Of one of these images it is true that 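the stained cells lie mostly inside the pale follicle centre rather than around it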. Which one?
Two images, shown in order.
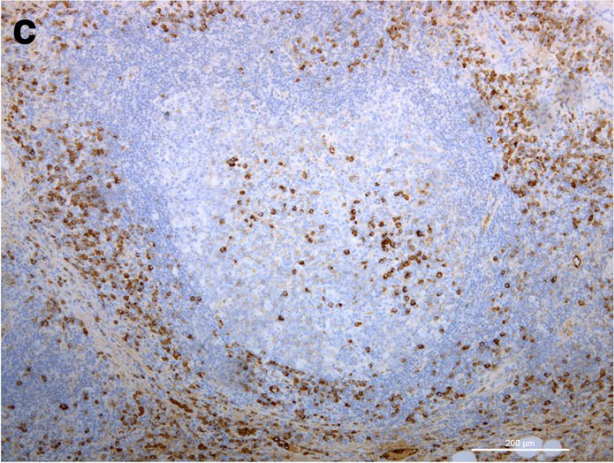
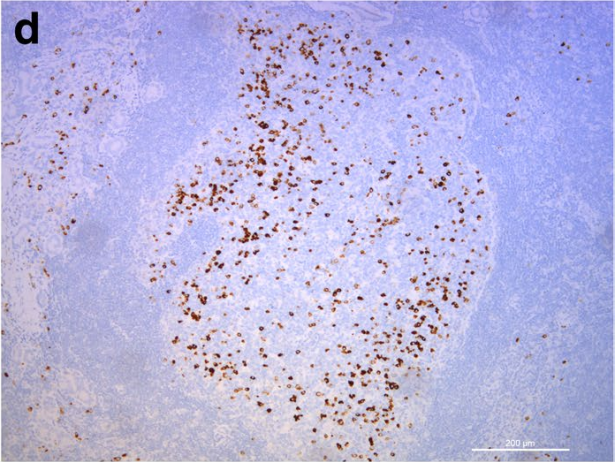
The second image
